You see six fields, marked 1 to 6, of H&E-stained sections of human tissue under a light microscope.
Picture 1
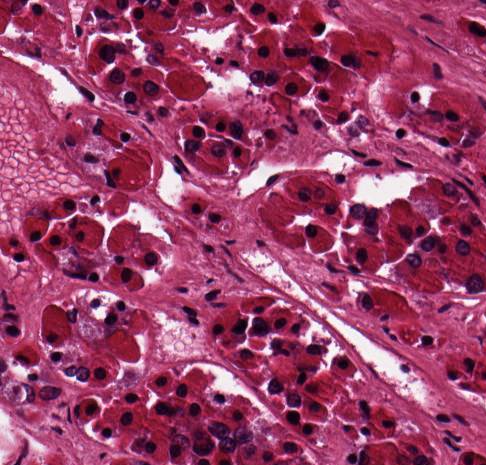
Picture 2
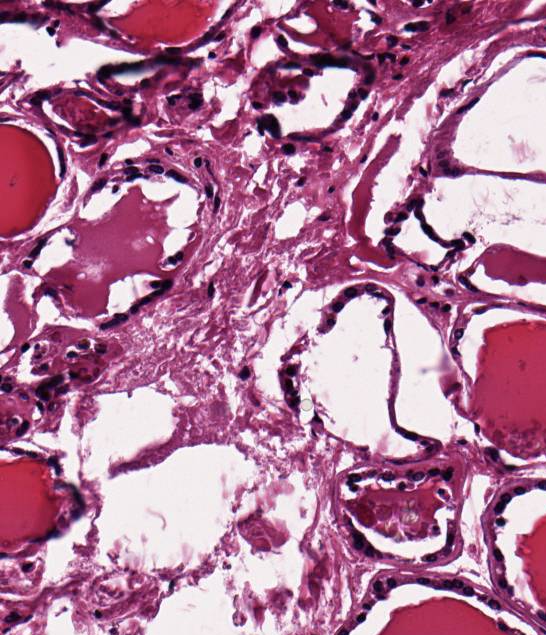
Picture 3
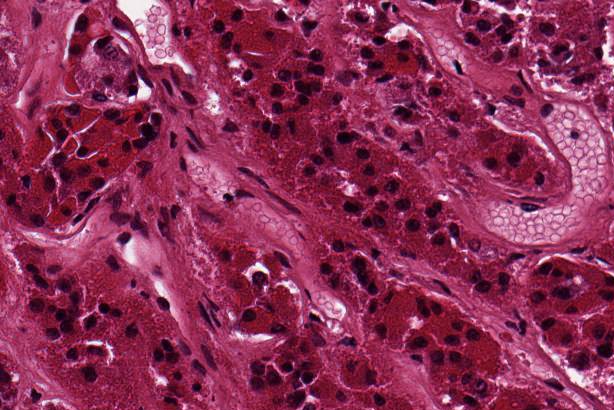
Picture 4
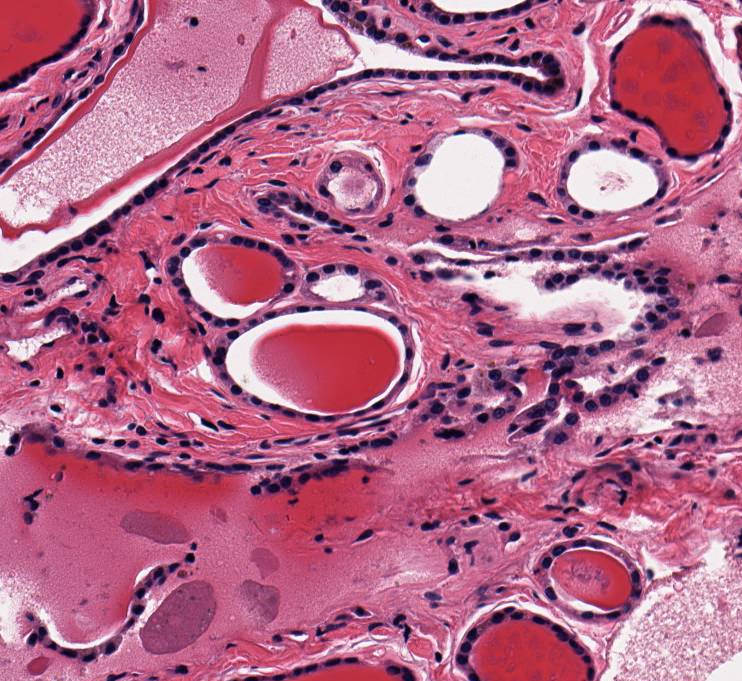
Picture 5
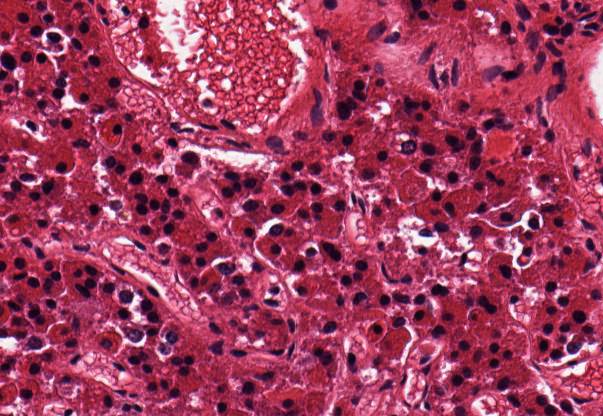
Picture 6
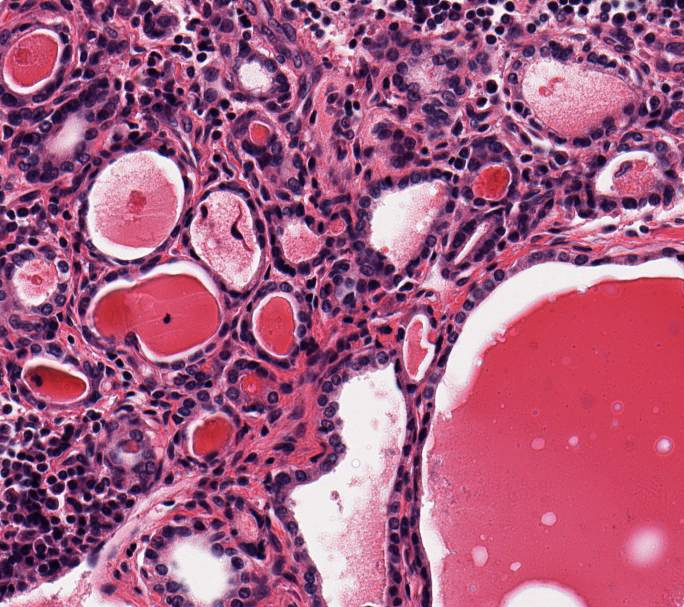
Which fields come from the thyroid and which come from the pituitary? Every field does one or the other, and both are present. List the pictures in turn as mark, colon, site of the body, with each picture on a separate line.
1: pituitary
2: thyroid
3: pituitary
4: thyroid
5: pituitary
6: thyroid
